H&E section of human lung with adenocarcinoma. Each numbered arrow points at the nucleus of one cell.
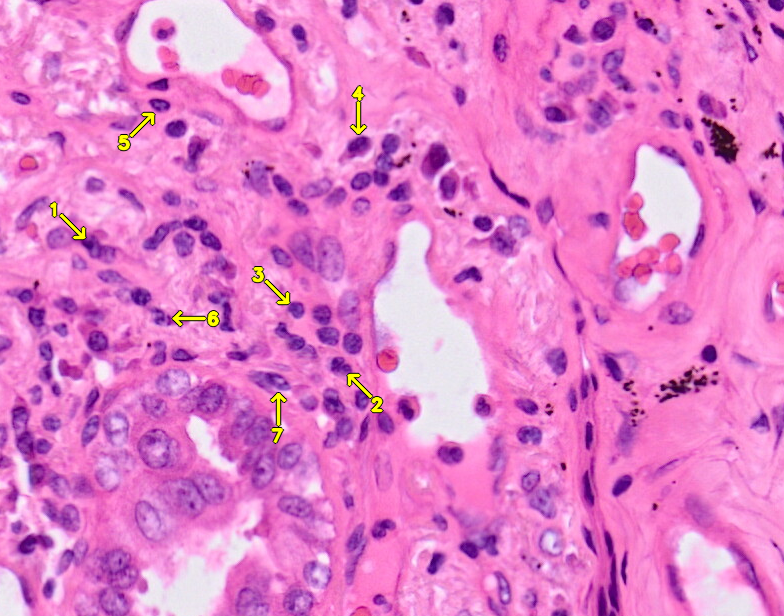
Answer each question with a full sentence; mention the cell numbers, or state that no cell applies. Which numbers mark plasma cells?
By cell type, the cells numbered 1, 4 and 6 are plasma cells.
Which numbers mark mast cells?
Only cell 5 qualifies as a mast cell among the numbered cells.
